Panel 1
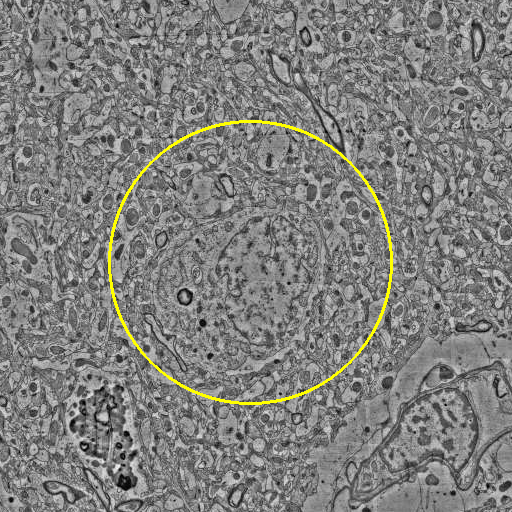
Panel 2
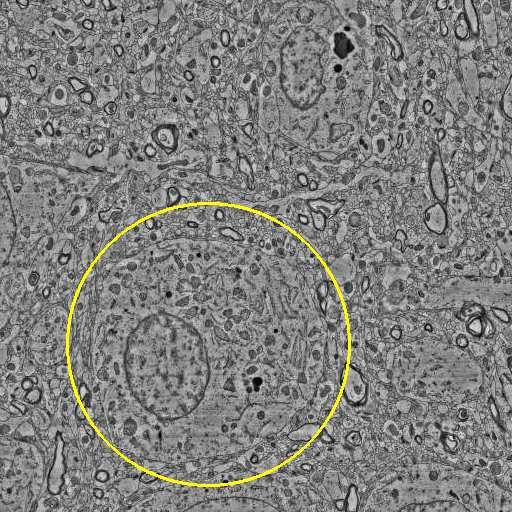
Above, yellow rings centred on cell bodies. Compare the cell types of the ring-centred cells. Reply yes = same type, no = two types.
yes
